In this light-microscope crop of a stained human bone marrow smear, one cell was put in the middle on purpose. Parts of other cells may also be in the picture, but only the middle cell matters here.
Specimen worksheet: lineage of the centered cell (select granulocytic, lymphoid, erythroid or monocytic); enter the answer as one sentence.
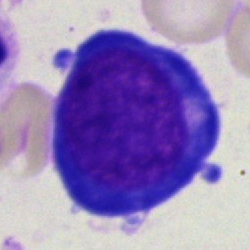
Lineage result for the cell in the middle of the crop: erythroid.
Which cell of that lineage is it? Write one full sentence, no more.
The cell at the centre of the field is a proerythroblast.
